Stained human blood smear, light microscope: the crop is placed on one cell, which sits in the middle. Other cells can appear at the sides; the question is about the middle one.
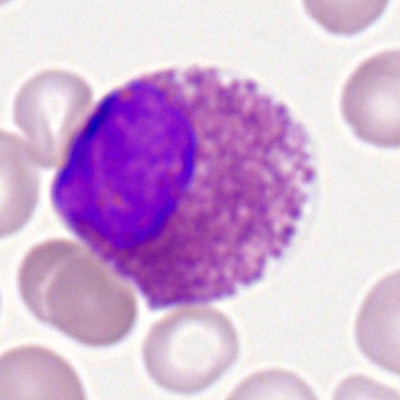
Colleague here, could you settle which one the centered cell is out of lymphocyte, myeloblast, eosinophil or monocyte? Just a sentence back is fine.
By classification, the middle cell of this crop is an eosinophil.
